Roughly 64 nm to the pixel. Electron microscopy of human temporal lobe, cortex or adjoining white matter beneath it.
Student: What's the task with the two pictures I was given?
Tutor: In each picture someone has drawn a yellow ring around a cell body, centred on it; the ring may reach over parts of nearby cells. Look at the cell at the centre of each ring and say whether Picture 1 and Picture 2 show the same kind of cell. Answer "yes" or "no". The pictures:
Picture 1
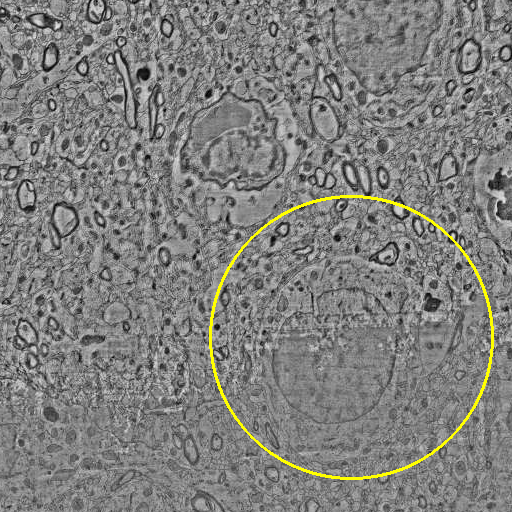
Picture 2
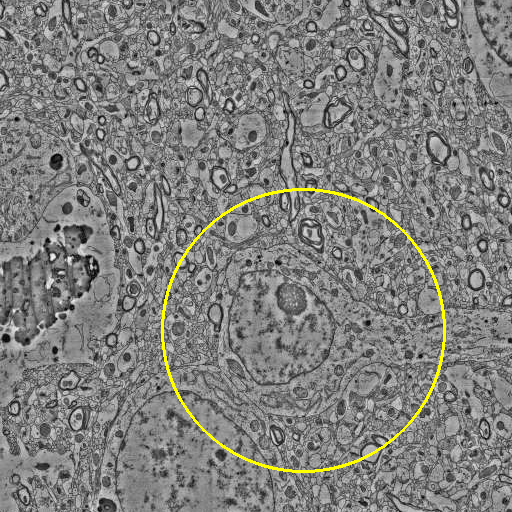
yes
